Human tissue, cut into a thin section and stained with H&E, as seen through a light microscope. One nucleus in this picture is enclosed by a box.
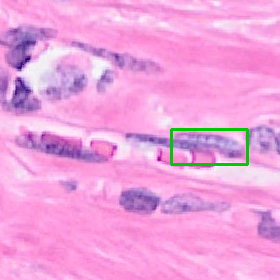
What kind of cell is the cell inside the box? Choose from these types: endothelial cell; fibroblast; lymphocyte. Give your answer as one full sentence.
The cell type represented by the cell inside the box is that of an endothelial cell.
